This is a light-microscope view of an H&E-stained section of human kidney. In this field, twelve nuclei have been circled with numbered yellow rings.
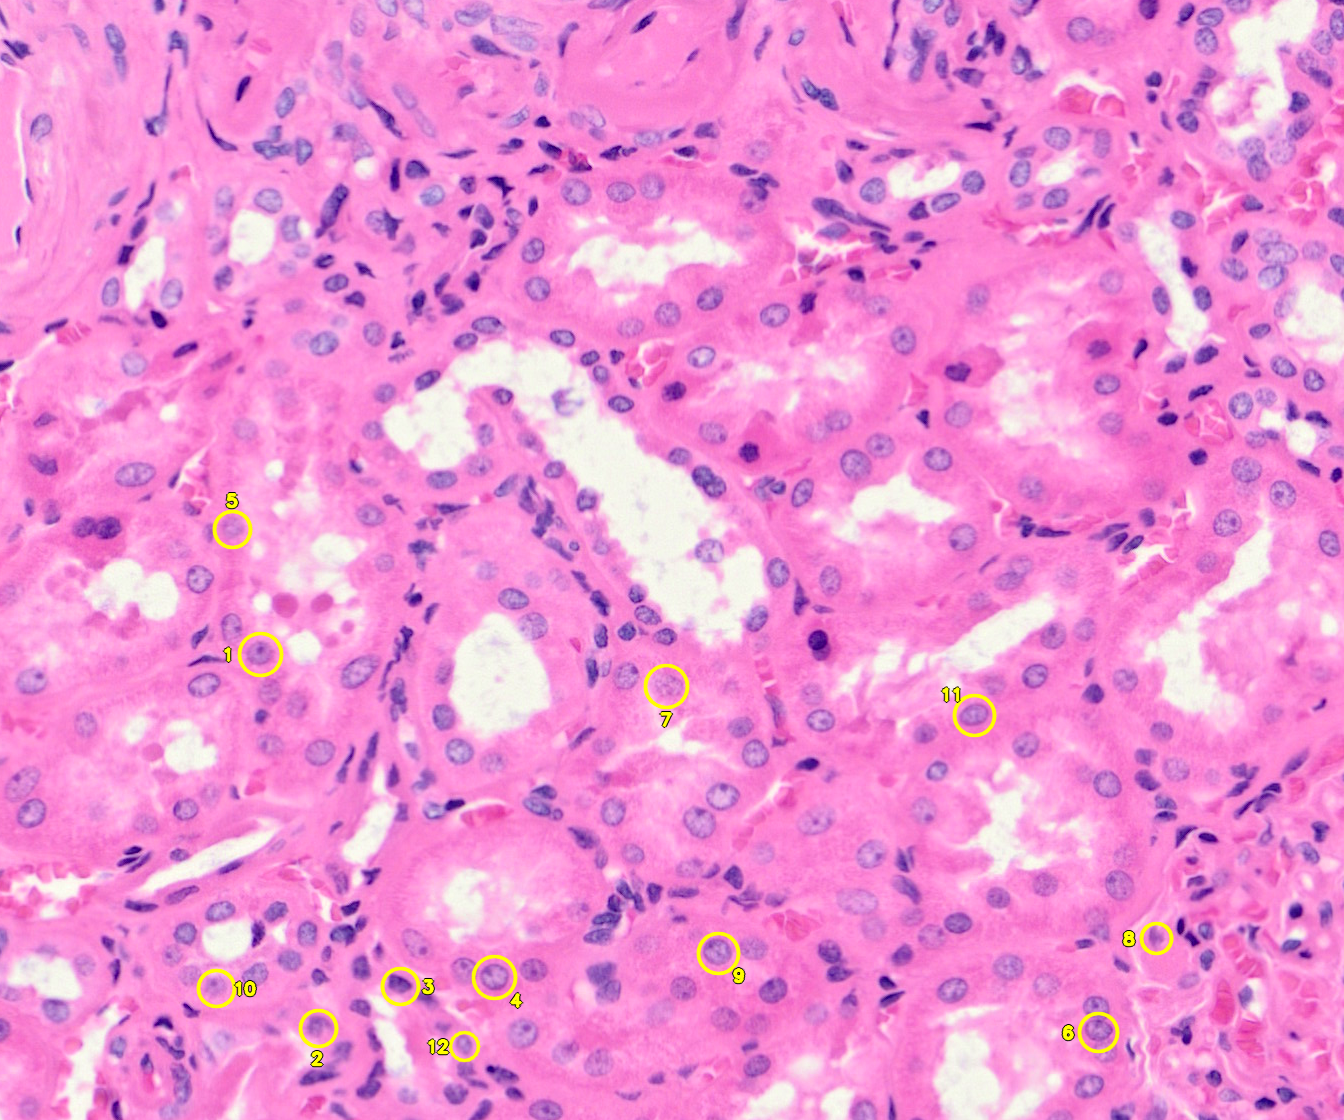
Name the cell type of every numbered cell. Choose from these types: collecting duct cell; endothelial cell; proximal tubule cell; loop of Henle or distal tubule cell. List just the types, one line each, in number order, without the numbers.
proximal tubule cell
collecting duct cell
collecting duct cell
proximal tubule cell
proximal tubule cell
proximal tubule cell
proximal tubule cell
endothelial cell
proximal tubule cell
loop of Henle or distal tubule cell
proximal tubule cell
collecting duct cell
